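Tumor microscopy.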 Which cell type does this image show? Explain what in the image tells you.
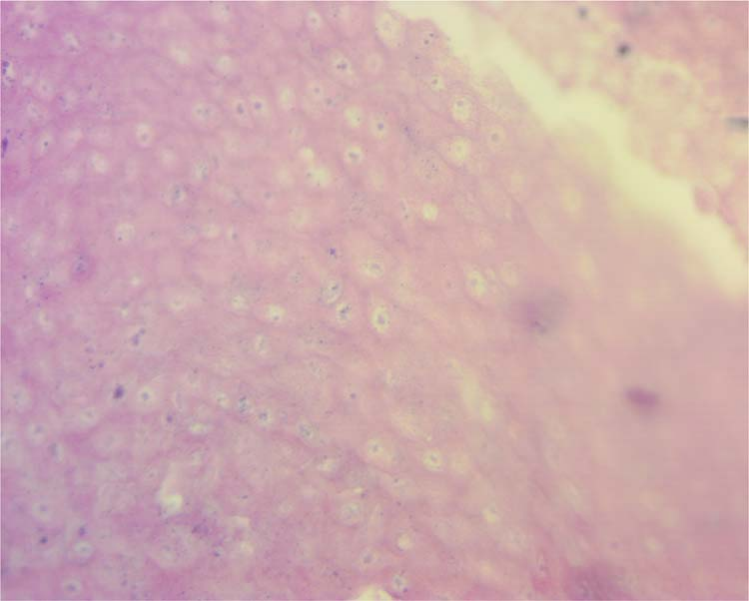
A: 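Sheets of closely packed cells with pink cytoplasm and faint polygonal outlines.
Answer: ghost cells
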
